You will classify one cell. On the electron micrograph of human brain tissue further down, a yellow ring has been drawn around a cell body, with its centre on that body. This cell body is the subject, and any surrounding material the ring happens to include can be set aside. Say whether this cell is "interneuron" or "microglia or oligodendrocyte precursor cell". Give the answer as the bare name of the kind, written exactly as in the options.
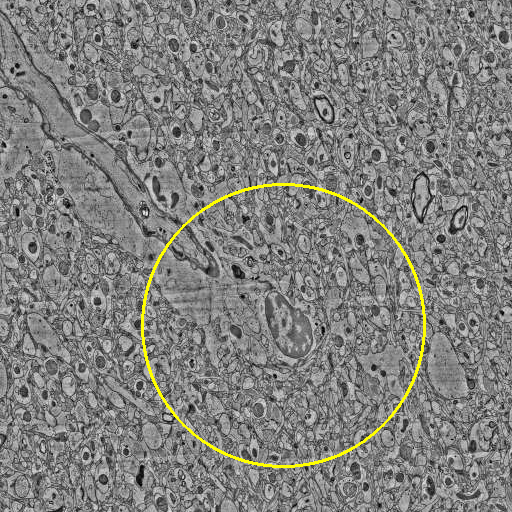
microglia or oligodendrocyte precursor cell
